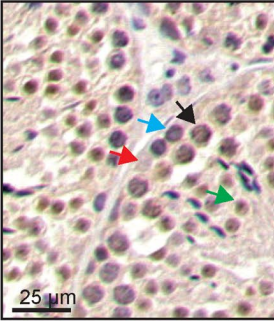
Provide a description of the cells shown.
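This is a close view of a seminiferous tubule of the testis showing the germ cell layers and supporting cells. Along the basal boundary lie small cells with round dark nuclei and, between them, a supporting cell with a paler, less round nucleus resting on the tubule wall. Further inward are larger cells with big round nuclei, many with brownish nuclear stain. Toward the lumen lie cells with small, elongated, very dark heads. The cells are arranged in concentric layers from the base toward the lumen, and the interstitium outside the tubule is thin.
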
